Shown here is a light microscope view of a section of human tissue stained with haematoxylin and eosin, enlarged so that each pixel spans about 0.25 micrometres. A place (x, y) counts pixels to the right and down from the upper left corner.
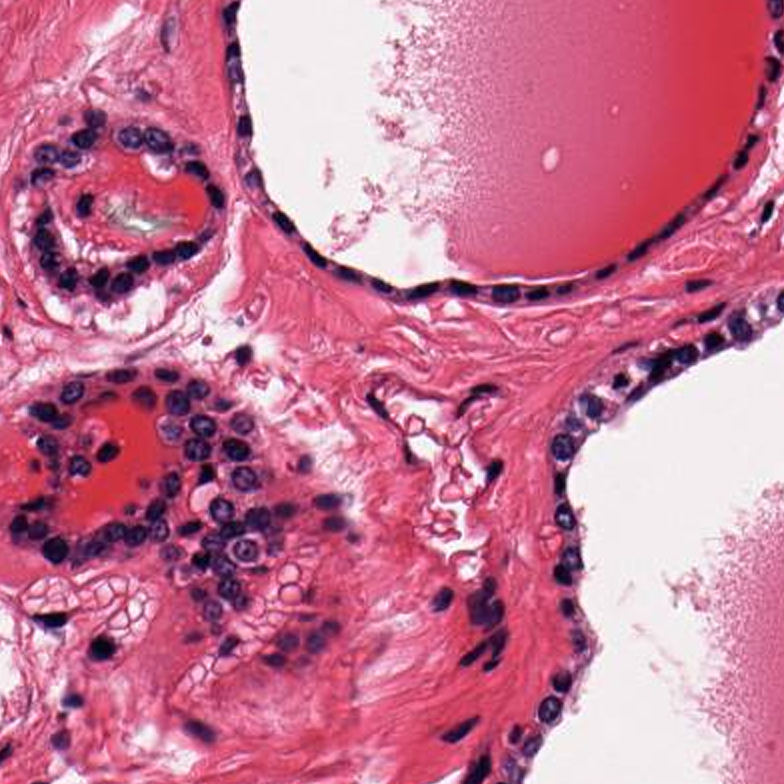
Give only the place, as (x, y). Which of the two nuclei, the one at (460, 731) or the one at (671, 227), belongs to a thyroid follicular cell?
(671, 227)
